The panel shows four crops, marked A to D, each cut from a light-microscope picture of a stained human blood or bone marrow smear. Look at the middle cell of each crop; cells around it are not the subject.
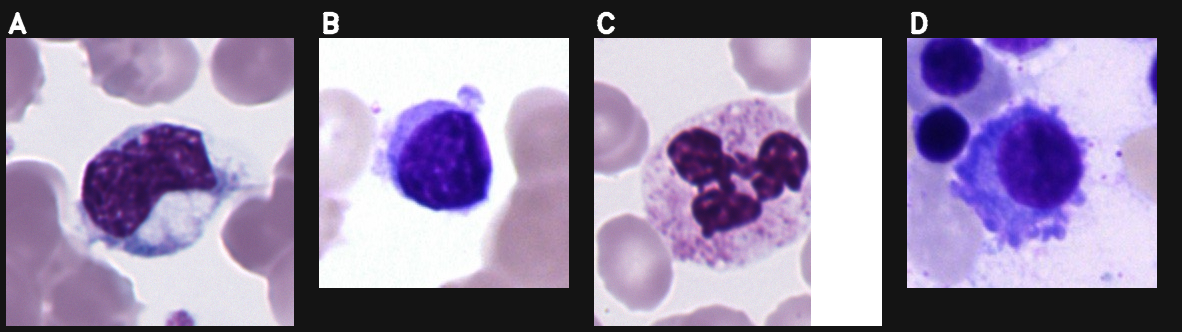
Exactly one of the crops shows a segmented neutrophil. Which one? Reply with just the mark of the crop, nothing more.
C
